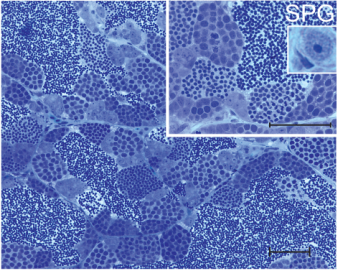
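Cysts of larger cells with round, paler nuclei lie next to cysts of progressively smaller, more darkly stained cells. Large areas between the cysts are packed with very small, dense, dark-blue cells, the most differentiated germ cells. Thin pale strands of somatic tissue separate the cyst groups. The insert shows at higher magnification a single large germ cell with a round nucleus and a rim of pale cytoplasm.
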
